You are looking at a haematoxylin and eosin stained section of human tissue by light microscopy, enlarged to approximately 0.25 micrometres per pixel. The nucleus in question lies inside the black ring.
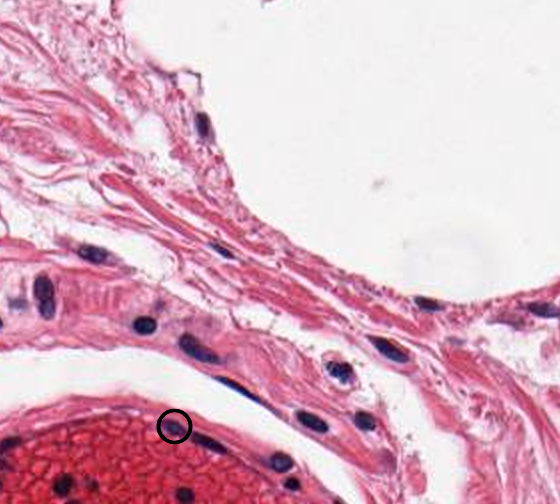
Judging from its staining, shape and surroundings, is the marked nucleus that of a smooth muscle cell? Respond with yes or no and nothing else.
no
